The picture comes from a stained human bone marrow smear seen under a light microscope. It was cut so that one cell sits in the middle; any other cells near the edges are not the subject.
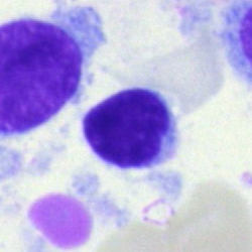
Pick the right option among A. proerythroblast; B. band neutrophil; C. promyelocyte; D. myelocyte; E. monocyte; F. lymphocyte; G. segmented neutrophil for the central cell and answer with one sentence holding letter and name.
The correct option, F, names the middle cell as a lymphocyte.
